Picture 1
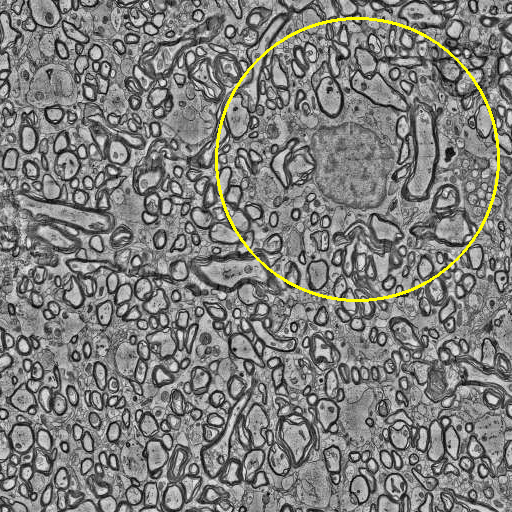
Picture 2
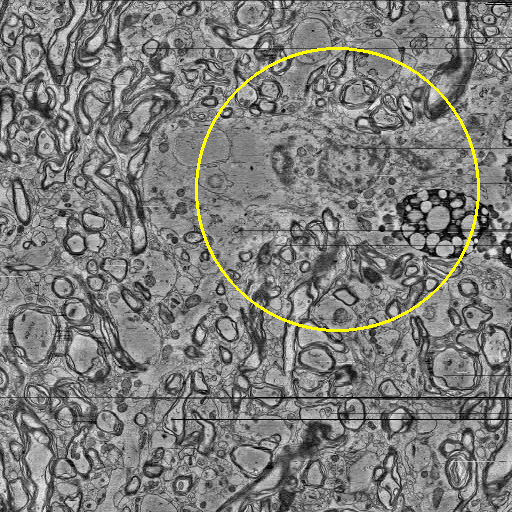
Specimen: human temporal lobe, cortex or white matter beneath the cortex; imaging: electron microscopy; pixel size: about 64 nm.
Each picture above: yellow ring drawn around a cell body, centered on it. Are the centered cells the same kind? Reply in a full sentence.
No, the two cells are two kinds of cell.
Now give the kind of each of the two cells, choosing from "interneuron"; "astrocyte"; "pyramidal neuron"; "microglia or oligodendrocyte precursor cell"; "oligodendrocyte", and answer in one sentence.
The cell in the first picture is an oligodendrocyte, and the cell in the second is an astrocyte.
